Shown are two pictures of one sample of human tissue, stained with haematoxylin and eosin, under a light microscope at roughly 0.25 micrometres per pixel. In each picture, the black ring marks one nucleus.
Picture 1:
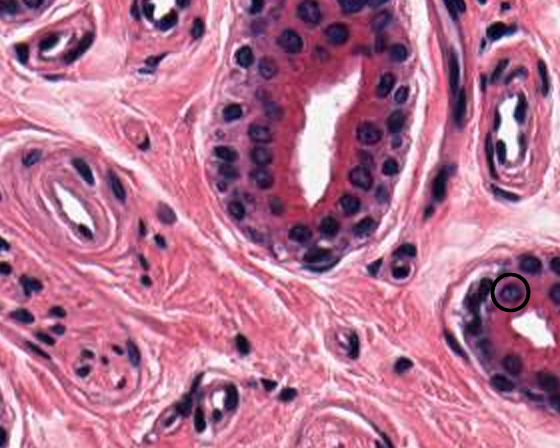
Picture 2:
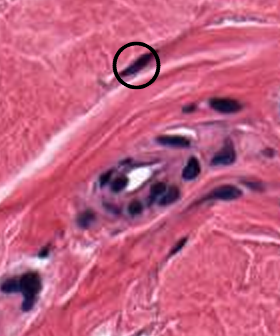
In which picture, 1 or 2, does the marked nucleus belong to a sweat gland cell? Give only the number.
1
